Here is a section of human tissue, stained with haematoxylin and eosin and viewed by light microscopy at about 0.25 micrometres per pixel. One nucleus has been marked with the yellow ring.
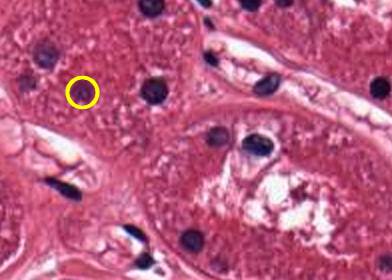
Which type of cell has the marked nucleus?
proximal tubule cell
